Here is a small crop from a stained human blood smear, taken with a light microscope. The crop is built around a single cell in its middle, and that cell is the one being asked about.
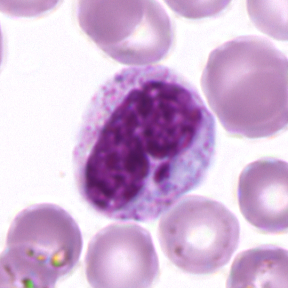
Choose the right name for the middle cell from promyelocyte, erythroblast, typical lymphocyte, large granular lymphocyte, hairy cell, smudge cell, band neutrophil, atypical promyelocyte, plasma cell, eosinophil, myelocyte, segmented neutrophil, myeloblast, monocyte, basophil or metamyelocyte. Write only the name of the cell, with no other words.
band neutrophil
